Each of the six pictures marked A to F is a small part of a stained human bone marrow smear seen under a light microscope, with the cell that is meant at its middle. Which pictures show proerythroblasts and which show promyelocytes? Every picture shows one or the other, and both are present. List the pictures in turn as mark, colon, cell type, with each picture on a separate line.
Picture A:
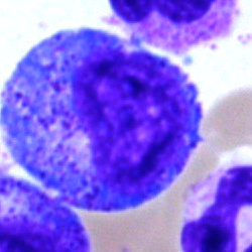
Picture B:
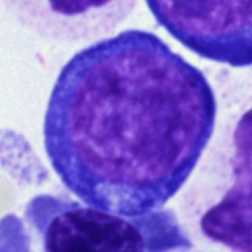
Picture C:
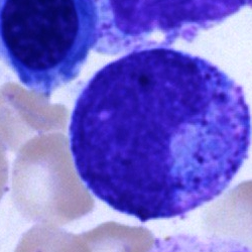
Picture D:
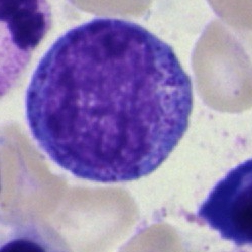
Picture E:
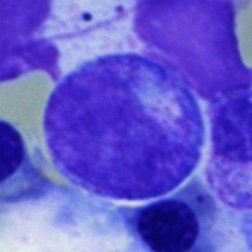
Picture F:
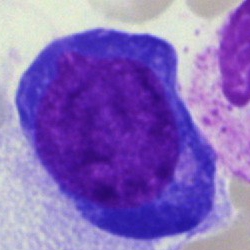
A: promyelocyte
B: proerythroblast
C: promyelocyte
D: promyelocyte
E: promyelocyte
F: proerythroblast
